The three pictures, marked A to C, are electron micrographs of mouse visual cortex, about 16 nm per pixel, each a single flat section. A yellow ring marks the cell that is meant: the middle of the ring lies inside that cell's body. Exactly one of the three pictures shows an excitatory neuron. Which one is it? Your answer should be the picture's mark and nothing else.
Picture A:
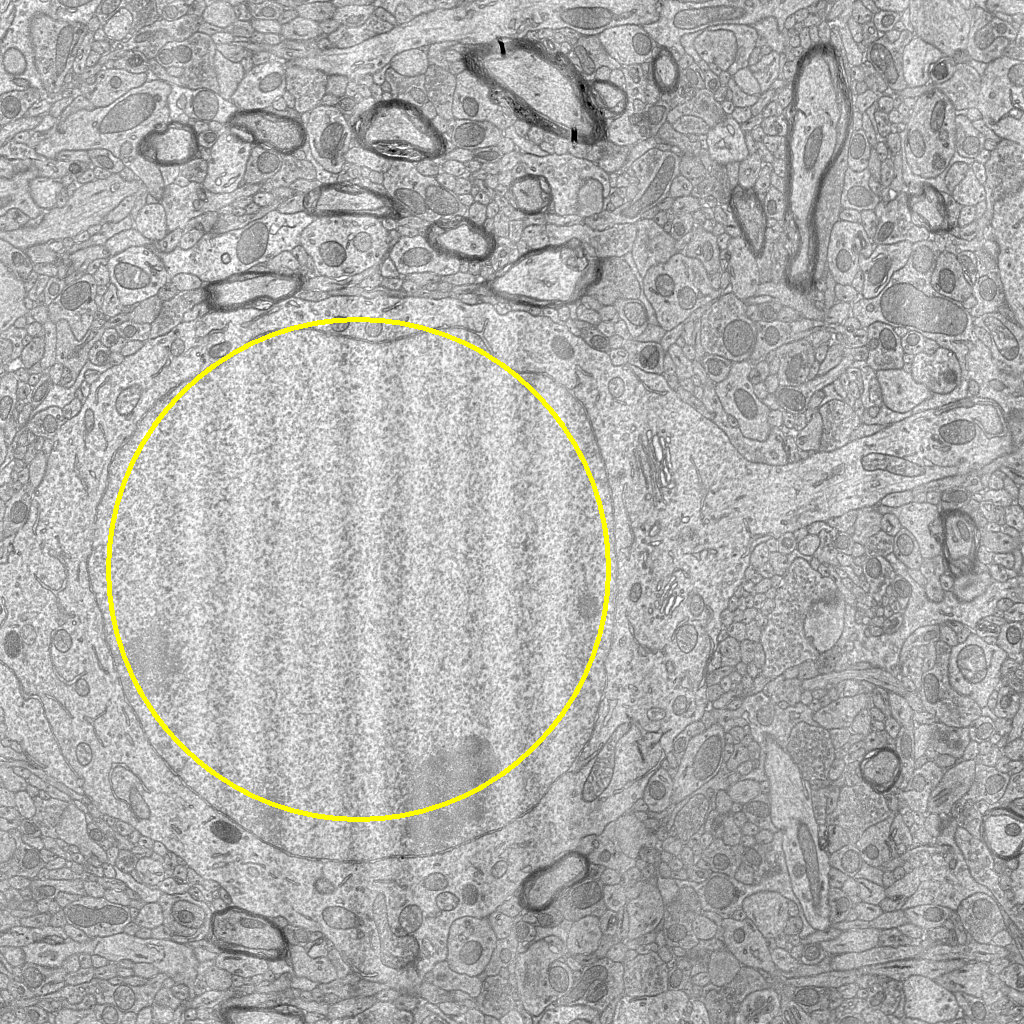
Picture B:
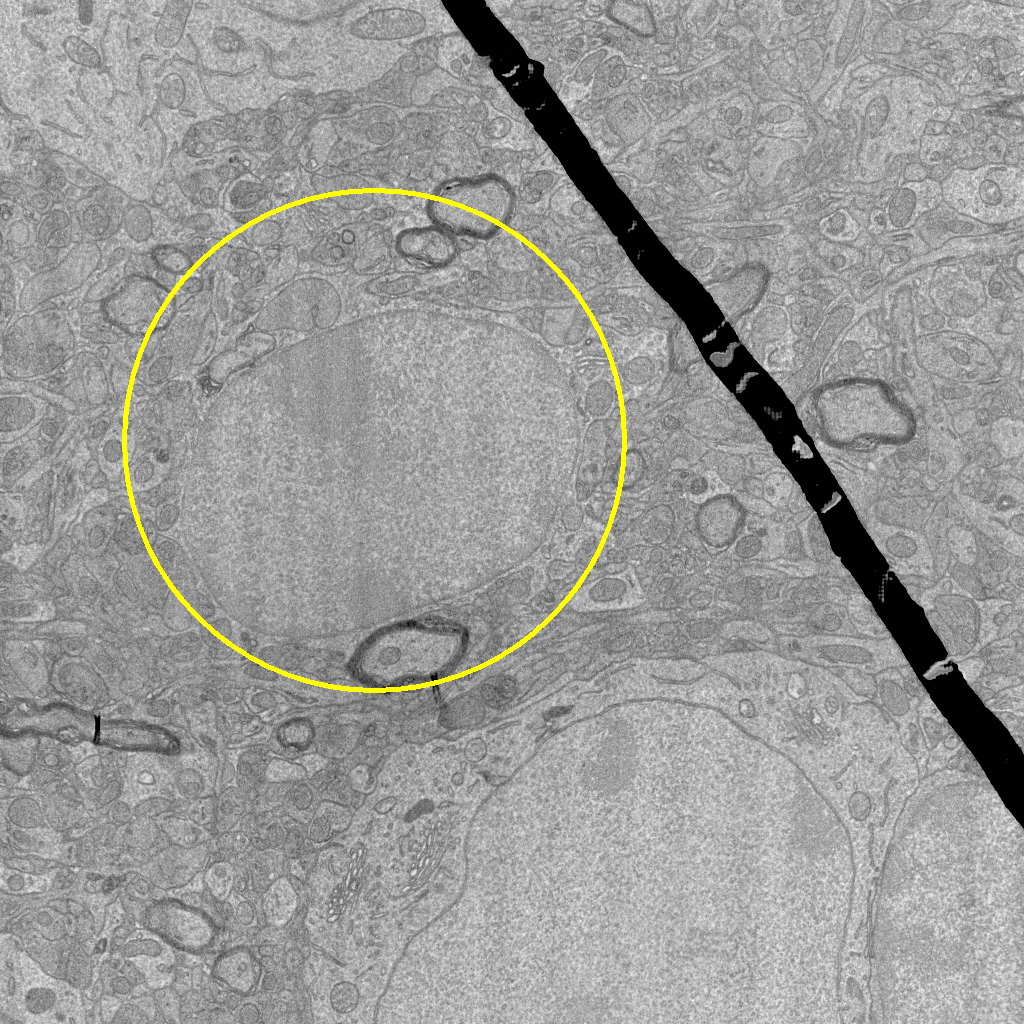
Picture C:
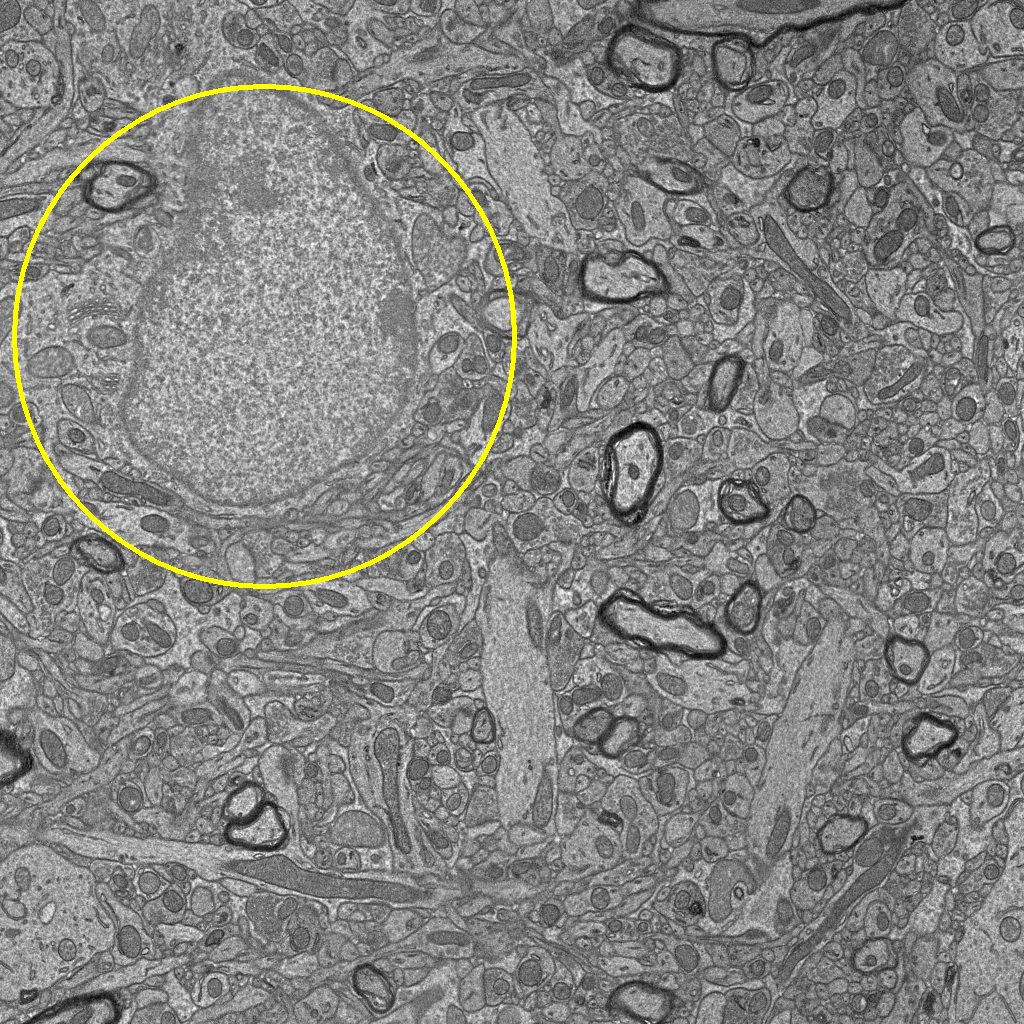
A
